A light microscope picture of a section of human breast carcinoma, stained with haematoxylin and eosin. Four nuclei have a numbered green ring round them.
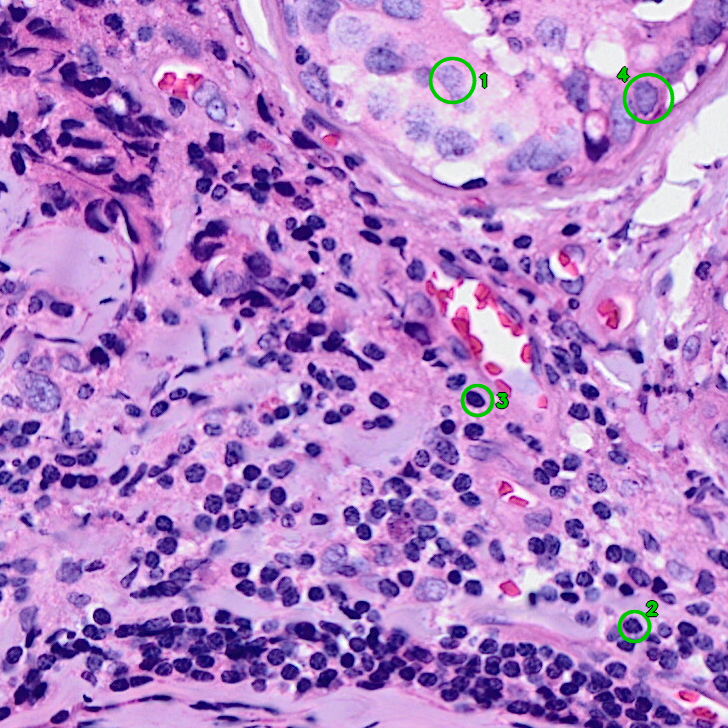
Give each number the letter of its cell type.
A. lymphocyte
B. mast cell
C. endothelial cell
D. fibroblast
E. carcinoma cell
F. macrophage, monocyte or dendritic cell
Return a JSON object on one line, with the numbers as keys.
{"1": "E", "2": "A", "3": "A", "4": "E"}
